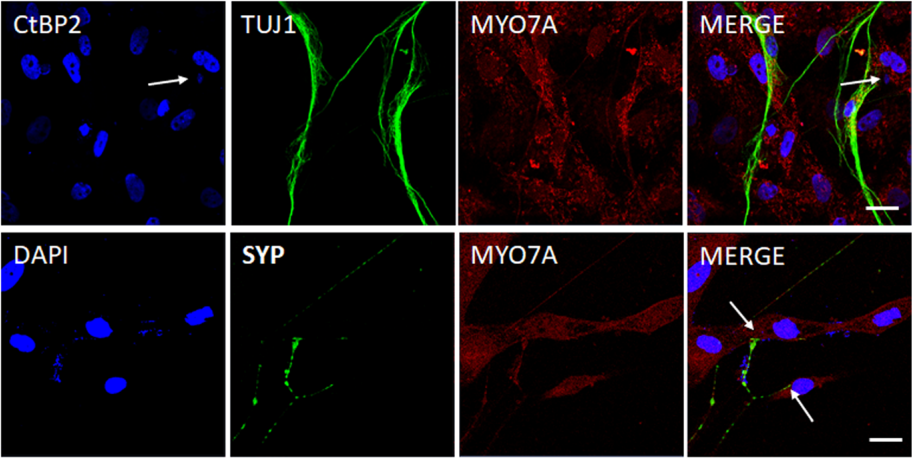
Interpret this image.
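Flat, elongated cells with granular red cytoplasm and oval blue nuclei lie spread across the dish. Bundles of fine green fibres run through the field and pass close beside the red cells. In the lower row, beaded green dots line thin processes that touch the red cells near their nuclei.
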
